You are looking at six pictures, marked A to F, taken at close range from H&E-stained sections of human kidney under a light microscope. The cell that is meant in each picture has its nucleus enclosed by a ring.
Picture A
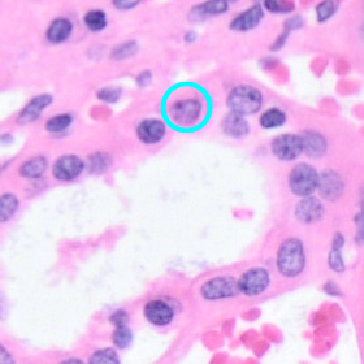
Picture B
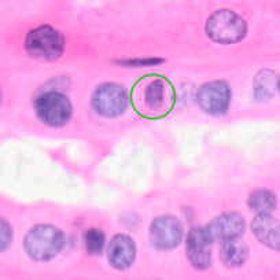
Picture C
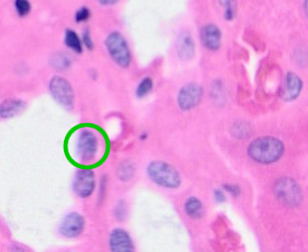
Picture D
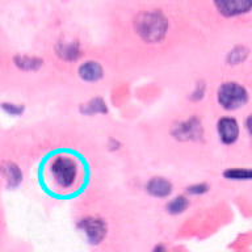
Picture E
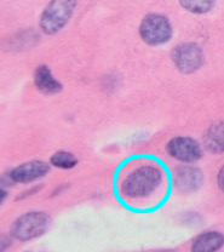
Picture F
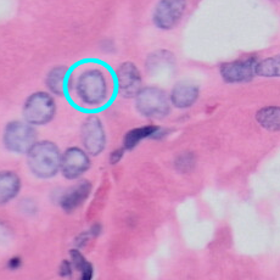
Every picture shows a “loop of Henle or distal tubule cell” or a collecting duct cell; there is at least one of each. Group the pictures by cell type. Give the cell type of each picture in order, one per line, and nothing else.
collecting duct cell
collecting duct cell
loop of Henle or distal tubule cell
loop of Henle or distal tubule cell
collecting duct cell
collecting duct cell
